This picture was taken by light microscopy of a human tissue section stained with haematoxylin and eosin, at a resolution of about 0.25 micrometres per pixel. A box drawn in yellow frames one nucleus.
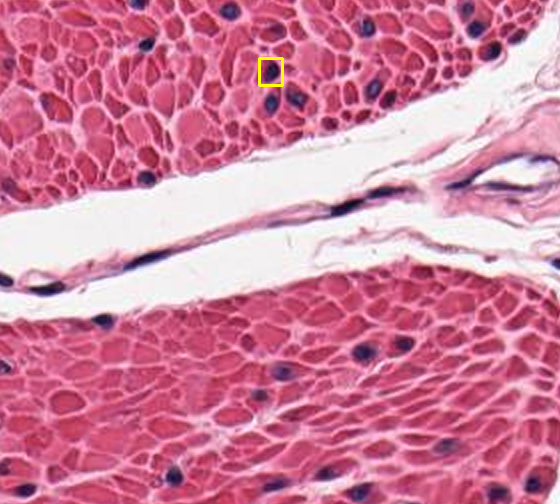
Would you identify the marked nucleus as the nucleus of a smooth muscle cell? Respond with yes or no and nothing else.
yes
